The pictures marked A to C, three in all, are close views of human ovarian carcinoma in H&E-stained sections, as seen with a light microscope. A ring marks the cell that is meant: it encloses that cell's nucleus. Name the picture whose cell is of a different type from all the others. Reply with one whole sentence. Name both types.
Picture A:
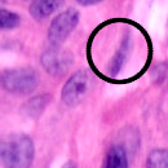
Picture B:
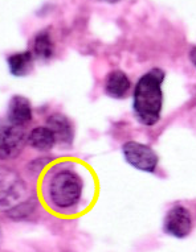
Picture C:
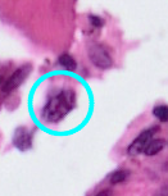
The different one is picture A; it shows a fibroblast, whereas all the others show carcinoma cells.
